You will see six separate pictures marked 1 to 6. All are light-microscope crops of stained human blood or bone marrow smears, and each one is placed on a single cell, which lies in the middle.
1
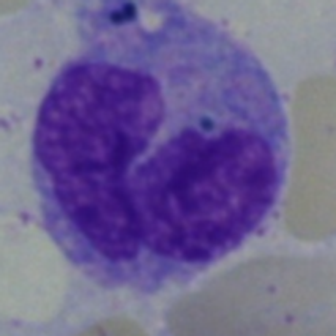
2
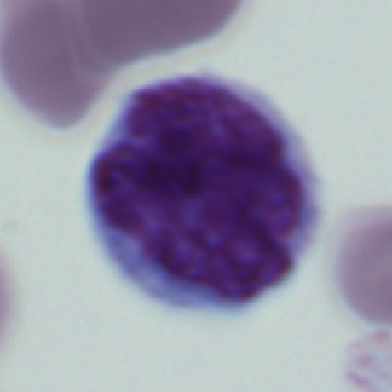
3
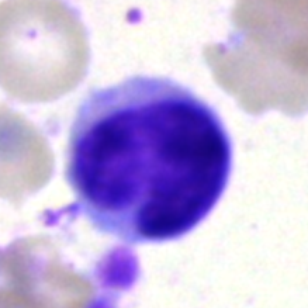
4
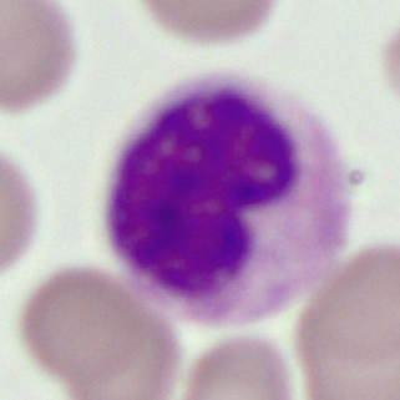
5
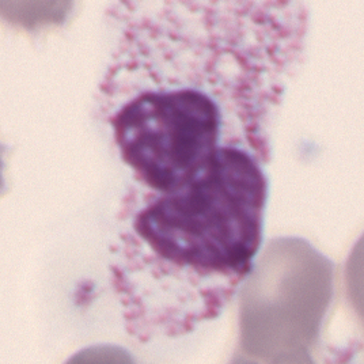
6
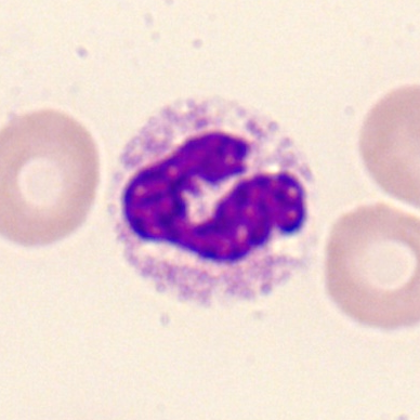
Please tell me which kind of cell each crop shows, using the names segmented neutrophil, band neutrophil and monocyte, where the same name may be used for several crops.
1: monocyte
2: monocyte
3: band neutrophil
4: band neutrophil
5: segmented neutrophil
6: segmented neutrophil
